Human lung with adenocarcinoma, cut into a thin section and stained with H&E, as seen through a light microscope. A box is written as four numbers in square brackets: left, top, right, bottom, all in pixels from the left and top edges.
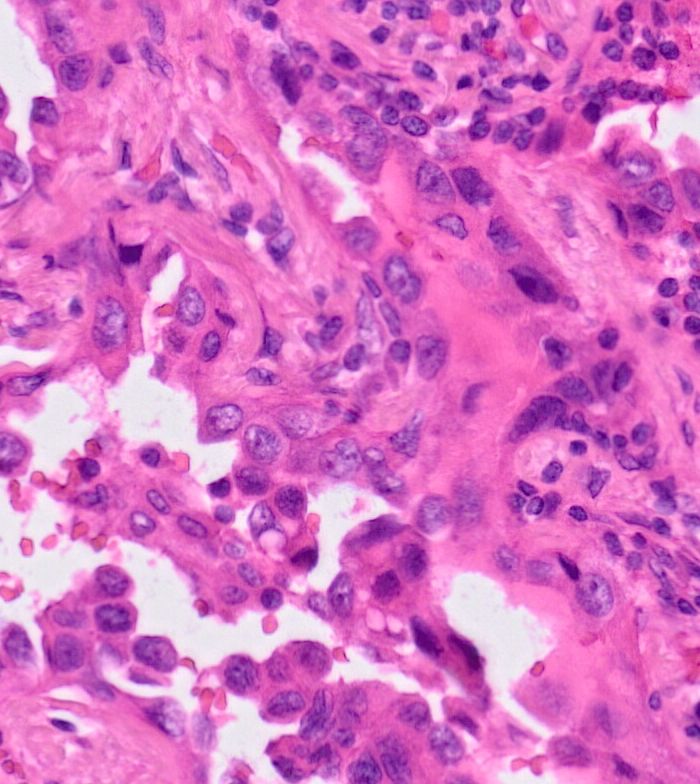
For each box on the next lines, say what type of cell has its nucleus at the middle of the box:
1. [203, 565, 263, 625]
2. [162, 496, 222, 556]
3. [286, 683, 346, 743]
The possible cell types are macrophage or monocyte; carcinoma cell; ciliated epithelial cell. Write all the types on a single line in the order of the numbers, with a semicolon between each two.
macrophage or monocyte; macrophage or monocyte; carcinoma cell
